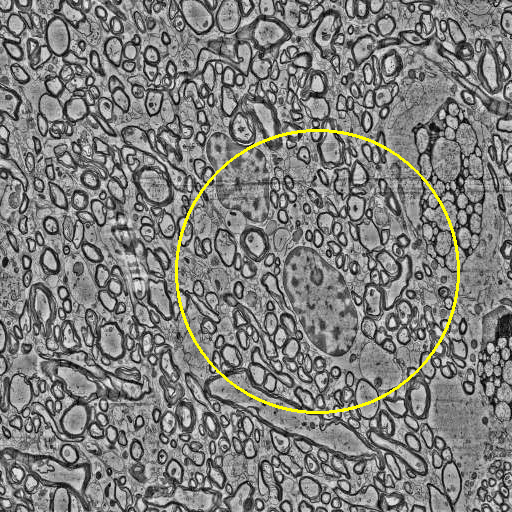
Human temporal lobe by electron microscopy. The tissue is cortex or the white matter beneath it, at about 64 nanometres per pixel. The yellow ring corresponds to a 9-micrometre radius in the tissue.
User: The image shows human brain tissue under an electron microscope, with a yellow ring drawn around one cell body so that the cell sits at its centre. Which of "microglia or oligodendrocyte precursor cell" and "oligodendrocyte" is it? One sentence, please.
At the centre of the ring sits a microglial cell or oligodendrocyte precursor cell.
